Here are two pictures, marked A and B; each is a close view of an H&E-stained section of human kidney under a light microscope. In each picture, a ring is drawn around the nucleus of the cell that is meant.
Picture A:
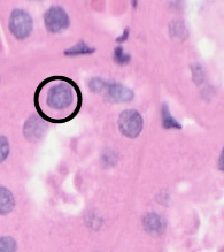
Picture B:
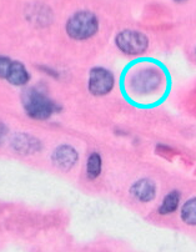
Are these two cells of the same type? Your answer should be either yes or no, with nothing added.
yes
